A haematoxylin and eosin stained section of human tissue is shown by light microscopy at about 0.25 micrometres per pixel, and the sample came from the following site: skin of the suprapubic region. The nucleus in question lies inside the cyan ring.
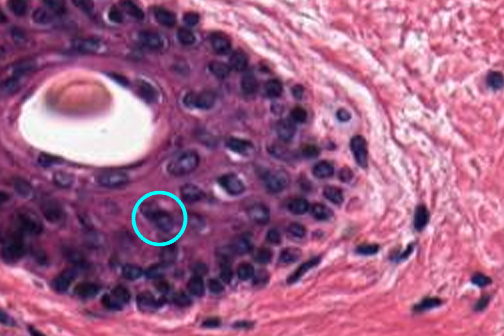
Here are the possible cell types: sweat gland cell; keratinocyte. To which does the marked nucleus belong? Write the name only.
keratinocyte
